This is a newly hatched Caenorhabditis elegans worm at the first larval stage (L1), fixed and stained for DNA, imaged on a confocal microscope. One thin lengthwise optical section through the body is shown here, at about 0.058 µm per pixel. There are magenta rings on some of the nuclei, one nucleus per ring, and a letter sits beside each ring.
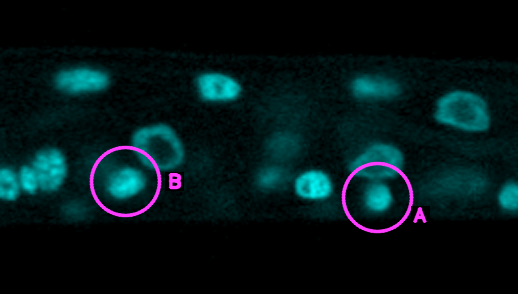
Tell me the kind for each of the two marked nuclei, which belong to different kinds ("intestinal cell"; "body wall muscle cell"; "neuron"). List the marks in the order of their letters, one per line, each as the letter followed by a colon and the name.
A: neuron
B: body wall muscle cell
